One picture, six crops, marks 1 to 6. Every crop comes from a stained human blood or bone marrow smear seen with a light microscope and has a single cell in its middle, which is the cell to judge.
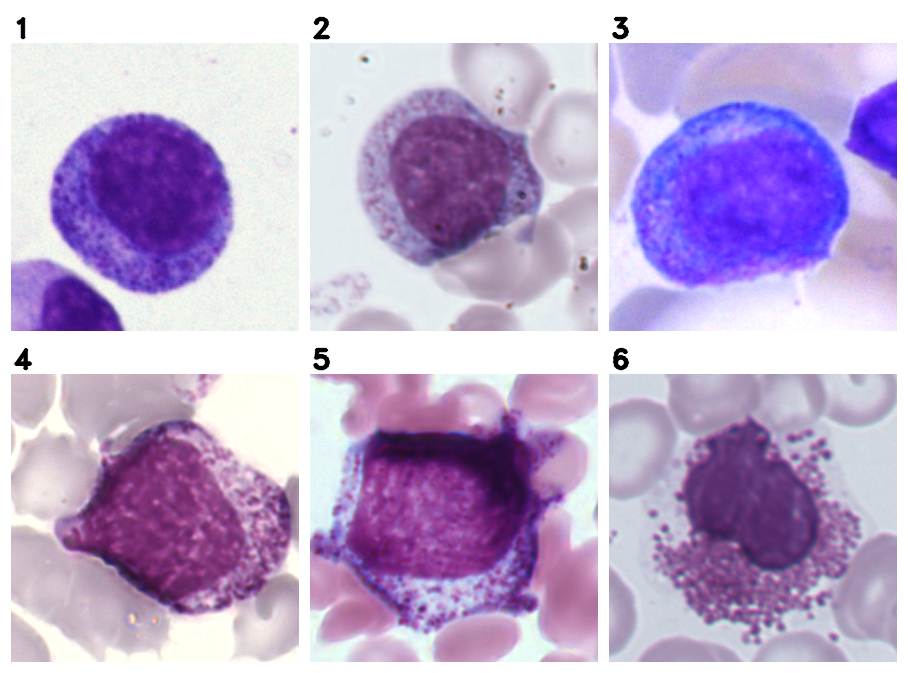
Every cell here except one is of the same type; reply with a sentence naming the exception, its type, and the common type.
The exception is crop 6, with an eosinophil; the remaining crops all show promyelocytes.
